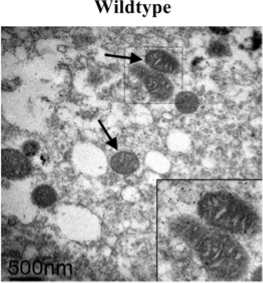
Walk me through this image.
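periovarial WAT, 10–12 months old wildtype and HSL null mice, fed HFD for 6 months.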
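This is the cytoplasm of an adipocyte seen at high magnification in the electron microscope. Scattered through a granular, vesicle-rich cytoplasm lie several small, oval mitochondria that appear dark and compact. In the enlarged inset their inner membranes can be seen folded into closely packed cristae. Around them lie pale round spaces of various sizes, which stand out clearly against the grey cytoplasm.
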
